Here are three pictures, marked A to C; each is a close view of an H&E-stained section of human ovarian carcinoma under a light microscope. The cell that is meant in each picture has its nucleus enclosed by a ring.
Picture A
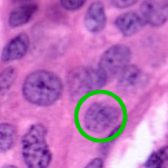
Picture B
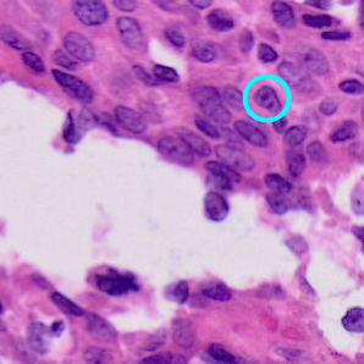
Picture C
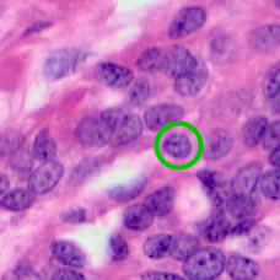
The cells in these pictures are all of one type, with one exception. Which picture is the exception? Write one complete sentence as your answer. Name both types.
All pictures except A show “macrophages or monocytes”; picture A shows a carcinoma cell.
